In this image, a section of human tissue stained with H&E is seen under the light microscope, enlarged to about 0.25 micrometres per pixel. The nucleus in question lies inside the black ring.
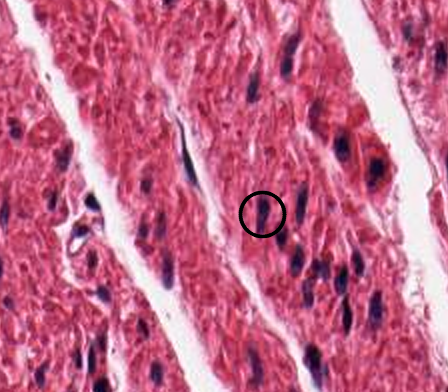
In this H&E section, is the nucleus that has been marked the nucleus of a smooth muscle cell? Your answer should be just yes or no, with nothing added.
yes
